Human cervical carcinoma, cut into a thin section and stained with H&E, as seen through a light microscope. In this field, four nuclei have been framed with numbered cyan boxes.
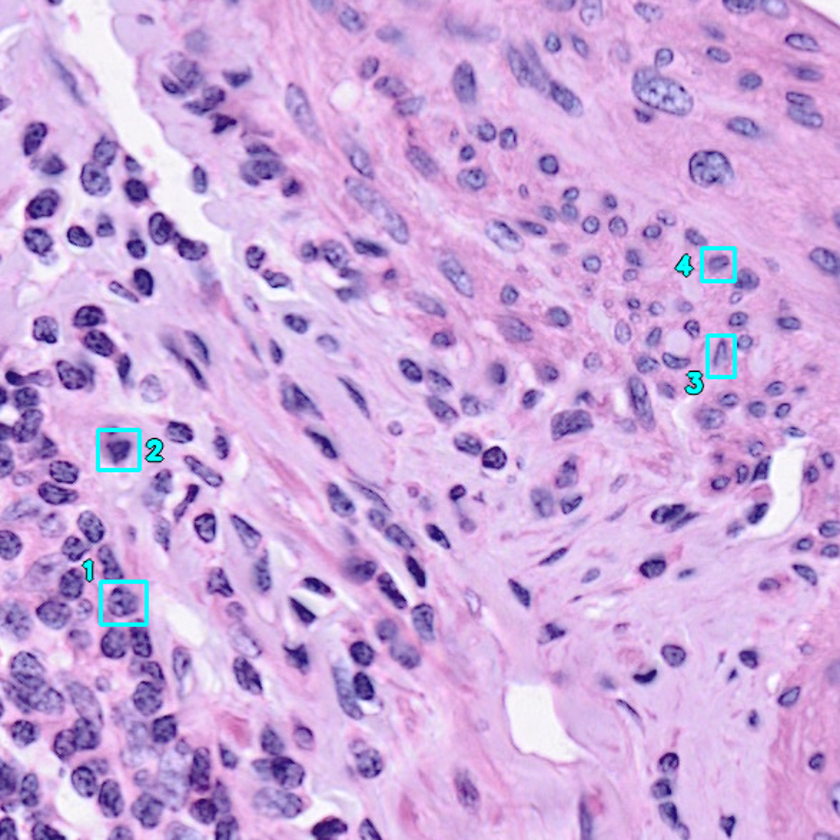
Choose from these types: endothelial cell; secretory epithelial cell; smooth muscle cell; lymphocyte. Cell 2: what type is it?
lymphocyte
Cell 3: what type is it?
smooth muscle cell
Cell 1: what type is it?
lymphocyte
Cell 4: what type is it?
smooth muscle cell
